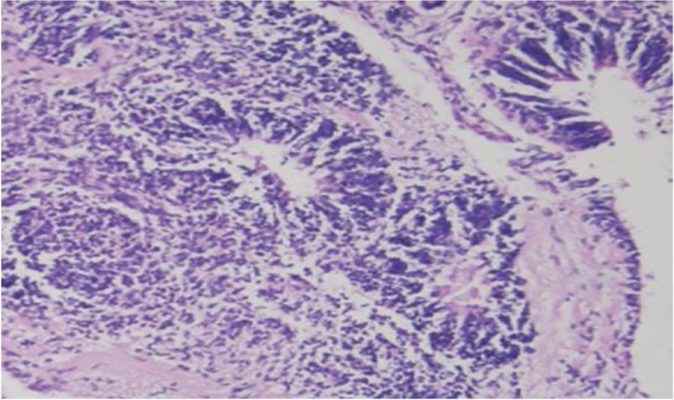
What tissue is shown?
immature teratoma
